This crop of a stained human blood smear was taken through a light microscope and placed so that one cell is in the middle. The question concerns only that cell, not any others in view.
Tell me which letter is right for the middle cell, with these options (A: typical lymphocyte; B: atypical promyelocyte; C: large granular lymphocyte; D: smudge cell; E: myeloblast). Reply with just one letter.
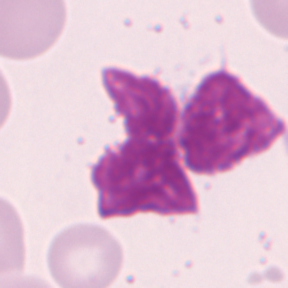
D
